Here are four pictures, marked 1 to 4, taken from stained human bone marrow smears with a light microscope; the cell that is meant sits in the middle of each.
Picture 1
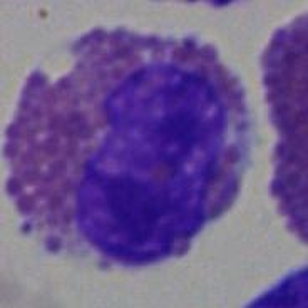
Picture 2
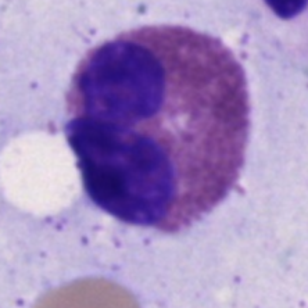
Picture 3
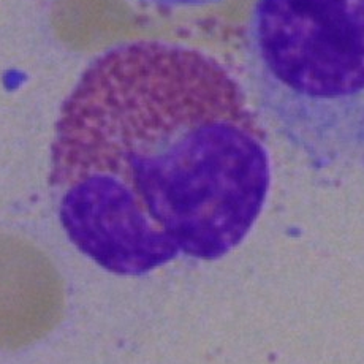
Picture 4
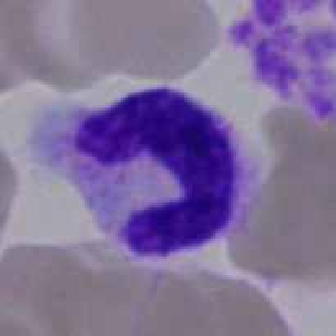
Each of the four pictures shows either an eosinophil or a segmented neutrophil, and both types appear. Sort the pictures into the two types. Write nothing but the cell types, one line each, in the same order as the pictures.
eosinophil
eosinophil
eosinophil
segmented neutrophil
